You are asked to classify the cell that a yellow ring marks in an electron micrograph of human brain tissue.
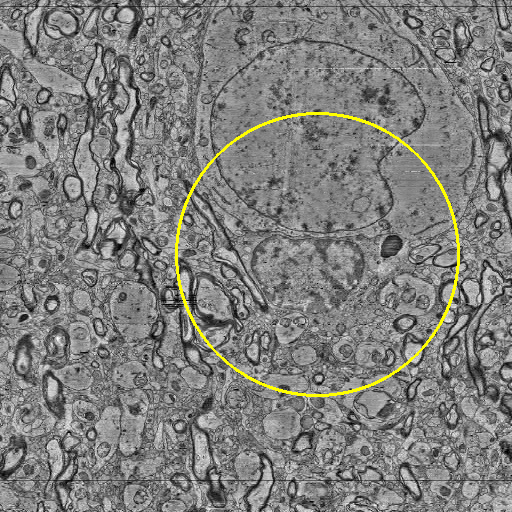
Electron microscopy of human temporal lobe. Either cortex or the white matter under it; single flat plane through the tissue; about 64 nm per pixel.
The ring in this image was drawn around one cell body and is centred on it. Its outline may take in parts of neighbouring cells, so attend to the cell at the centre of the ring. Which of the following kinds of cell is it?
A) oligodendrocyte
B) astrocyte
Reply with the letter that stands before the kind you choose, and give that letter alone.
A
